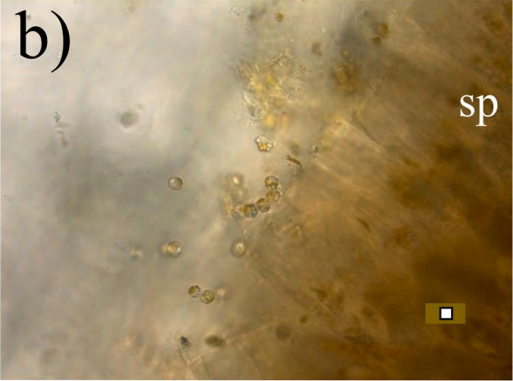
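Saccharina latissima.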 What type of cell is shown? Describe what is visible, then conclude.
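Many small rounded single cells lie scattered in the field. The cells are tiny relative to the brownish tissue at the right. The answer: zoospores.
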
